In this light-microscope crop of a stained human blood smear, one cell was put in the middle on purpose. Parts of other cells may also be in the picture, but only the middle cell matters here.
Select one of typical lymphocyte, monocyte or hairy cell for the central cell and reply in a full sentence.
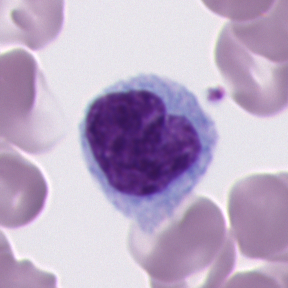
The cell in the middle of this crop is a monocyte.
